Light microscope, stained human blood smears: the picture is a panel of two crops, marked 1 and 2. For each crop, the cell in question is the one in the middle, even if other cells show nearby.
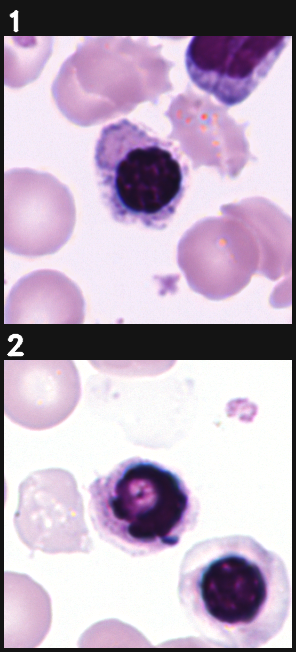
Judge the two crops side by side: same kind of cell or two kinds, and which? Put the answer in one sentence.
Yes, both of the crops show normoblasts.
